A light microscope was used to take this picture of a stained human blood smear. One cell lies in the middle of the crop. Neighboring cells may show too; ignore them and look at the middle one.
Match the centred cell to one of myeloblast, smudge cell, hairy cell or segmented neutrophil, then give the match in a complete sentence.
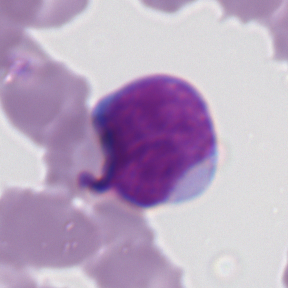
The cell occupying the middle of the crop is a myeloblast.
